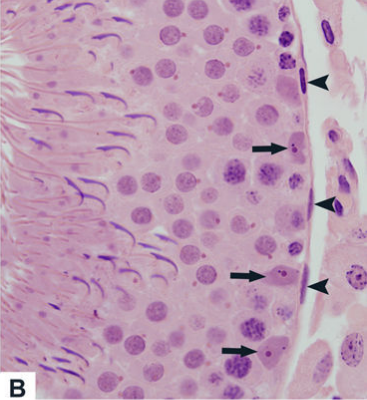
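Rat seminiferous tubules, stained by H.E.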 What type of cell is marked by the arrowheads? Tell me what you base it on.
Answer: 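The arrowheads point to thin, elongated dark nuclei. These lie in the thin wall at the outer edge of the tubule. So: peritubular cells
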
